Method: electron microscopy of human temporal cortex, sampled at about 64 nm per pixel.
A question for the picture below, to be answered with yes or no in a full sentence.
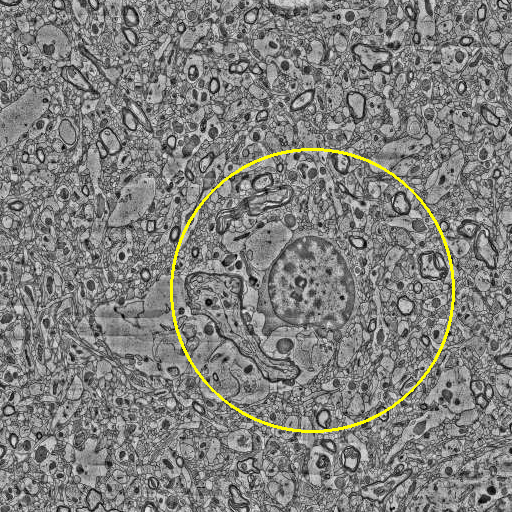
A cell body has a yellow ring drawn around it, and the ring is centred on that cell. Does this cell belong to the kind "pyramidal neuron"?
No, the pictured cell at the ring's centre belongs to another kind.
